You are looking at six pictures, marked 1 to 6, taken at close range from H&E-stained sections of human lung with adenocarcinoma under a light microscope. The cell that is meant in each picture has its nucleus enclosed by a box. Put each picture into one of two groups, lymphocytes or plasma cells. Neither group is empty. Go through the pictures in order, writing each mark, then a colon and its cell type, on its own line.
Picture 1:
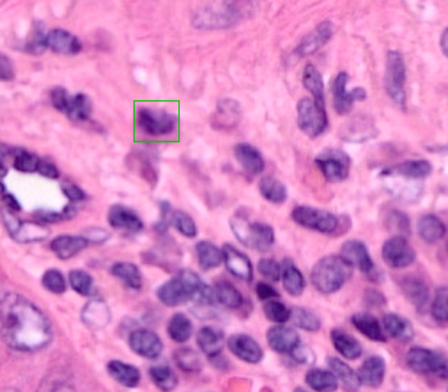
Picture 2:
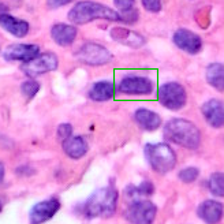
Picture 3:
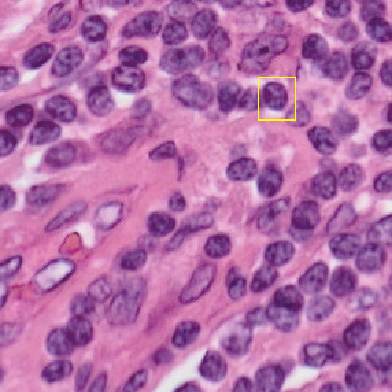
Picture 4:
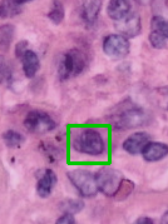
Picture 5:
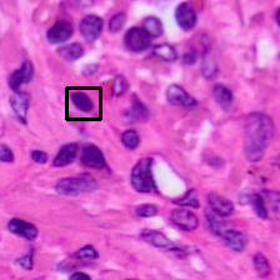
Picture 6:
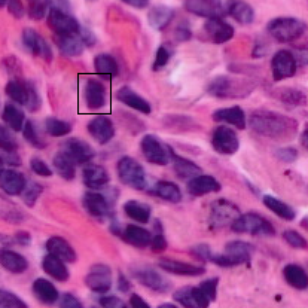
1: plasma cell
2: lymphocyte
3: lymphocyte
4: plasma cell
5: plasma cell
6: lymphocyte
